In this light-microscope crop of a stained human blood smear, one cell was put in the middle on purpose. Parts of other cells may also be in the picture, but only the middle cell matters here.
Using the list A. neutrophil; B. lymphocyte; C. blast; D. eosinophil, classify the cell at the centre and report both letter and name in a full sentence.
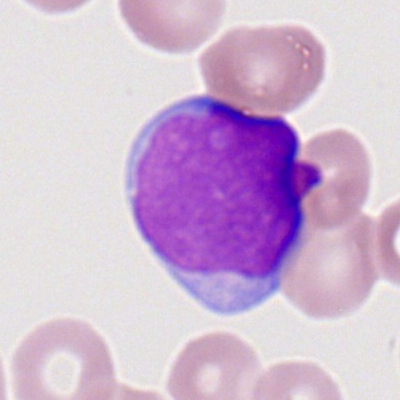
The cell in the middle is a blast, so option C is correct.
